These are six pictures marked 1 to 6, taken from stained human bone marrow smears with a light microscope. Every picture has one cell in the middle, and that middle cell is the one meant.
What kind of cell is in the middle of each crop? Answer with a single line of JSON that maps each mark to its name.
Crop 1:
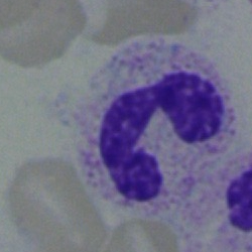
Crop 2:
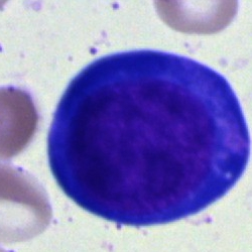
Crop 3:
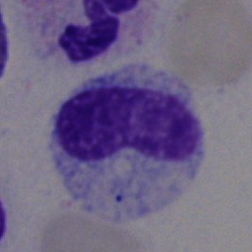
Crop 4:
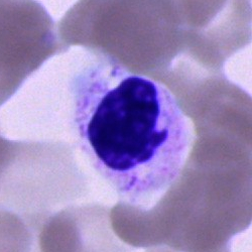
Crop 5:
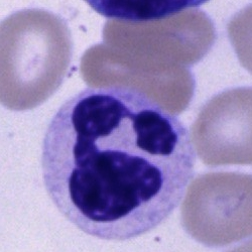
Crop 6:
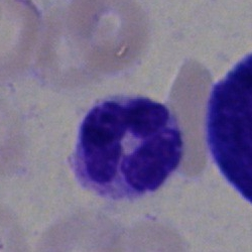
{"1": "segmented neutrophil", "2": "proerythroblast", "3": "band neutrophil", "4": "segmented neutrophil", "5": "segmented neutrophil", "6": "segmented neutrophil"}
